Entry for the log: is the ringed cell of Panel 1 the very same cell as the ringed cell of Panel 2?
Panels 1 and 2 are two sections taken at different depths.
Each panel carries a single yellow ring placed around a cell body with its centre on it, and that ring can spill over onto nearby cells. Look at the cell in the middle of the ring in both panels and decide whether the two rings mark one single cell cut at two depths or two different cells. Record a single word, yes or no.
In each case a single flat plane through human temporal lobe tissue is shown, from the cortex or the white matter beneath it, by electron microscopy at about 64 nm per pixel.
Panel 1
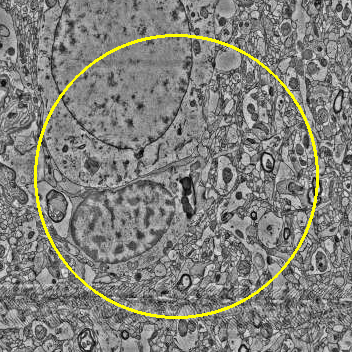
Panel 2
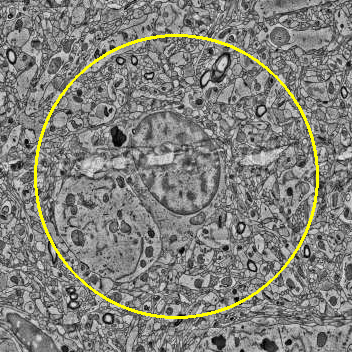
no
